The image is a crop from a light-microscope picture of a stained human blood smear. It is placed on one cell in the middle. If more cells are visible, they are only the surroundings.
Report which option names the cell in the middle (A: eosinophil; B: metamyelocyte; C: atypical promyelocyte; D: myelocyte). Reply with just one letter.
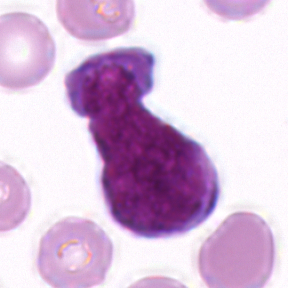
C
